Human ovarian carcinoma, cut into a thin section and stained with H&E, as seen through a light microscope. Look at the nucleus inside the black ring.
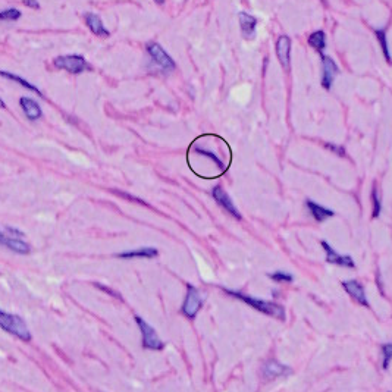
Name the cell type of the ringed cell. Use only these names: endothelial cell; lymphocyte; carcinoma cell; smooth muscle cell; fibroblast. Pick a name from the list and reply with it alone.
fibroblast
